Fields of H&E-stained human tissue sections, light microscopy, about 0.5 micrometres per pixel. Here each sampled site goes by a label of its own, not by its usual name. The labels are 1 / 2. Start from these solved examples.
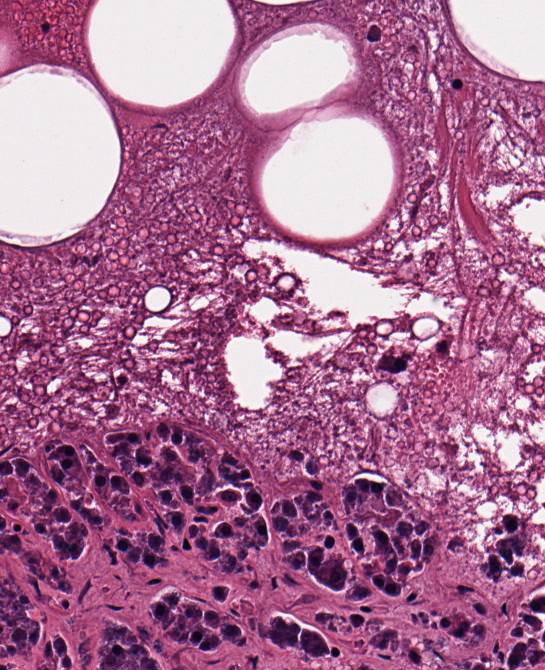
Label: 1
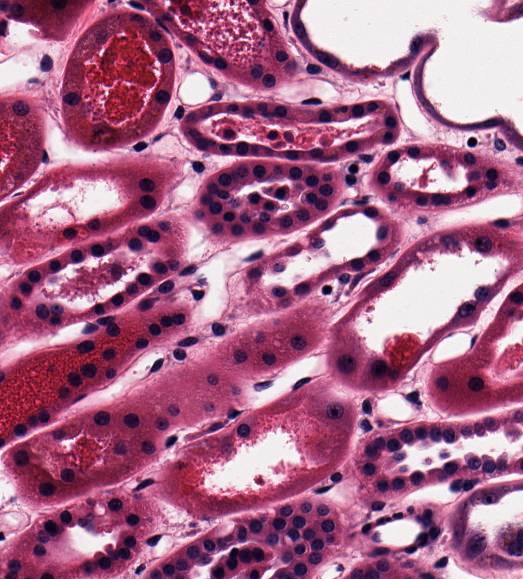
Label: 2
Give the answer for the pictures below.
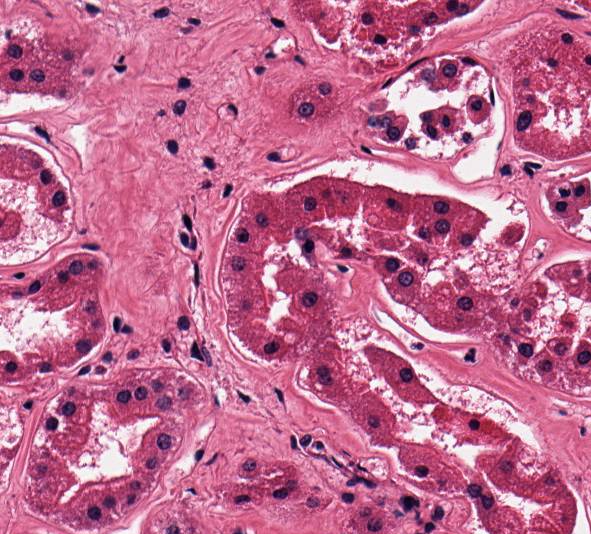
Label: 2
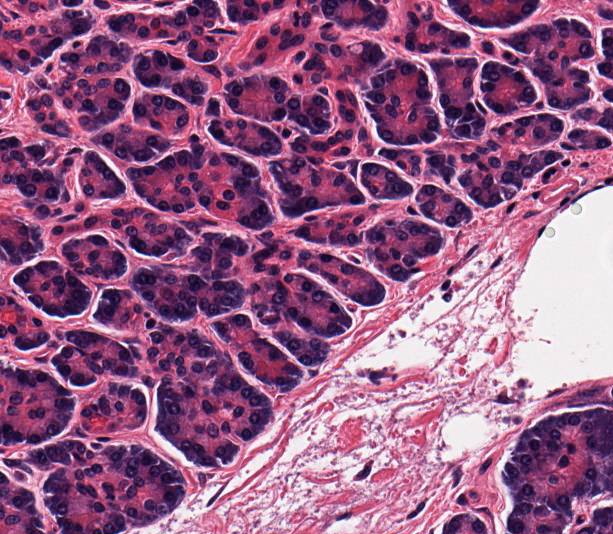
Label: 1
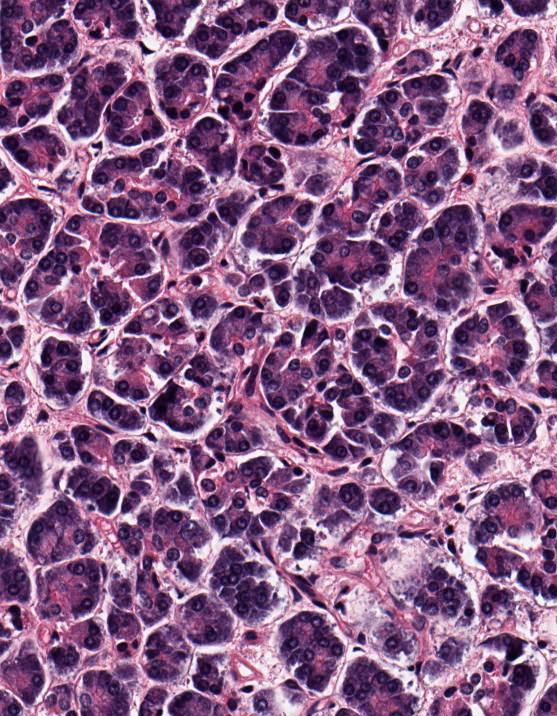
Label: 1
